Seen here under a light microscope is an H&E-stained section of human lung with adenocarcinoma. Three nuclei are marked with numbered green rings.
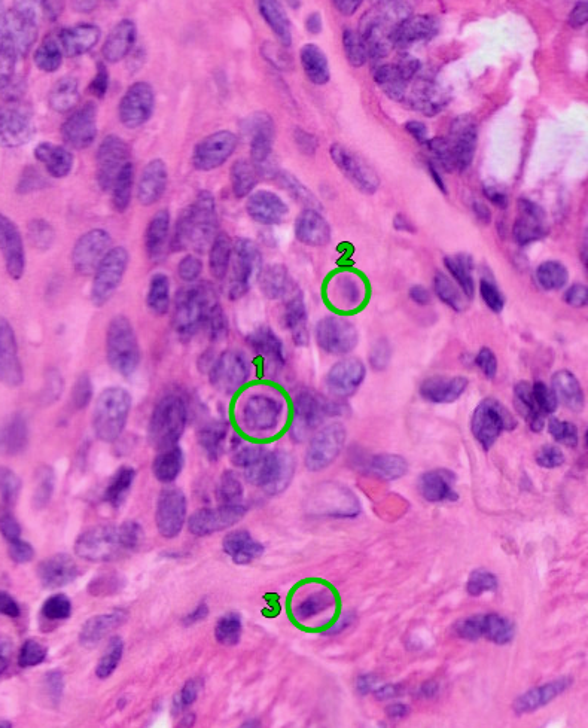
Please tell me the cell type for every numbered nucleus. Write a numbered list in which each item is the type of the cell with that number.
1. ciliated epithelial cell
2. mast cell
3. smooth muscle cell or pericyte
